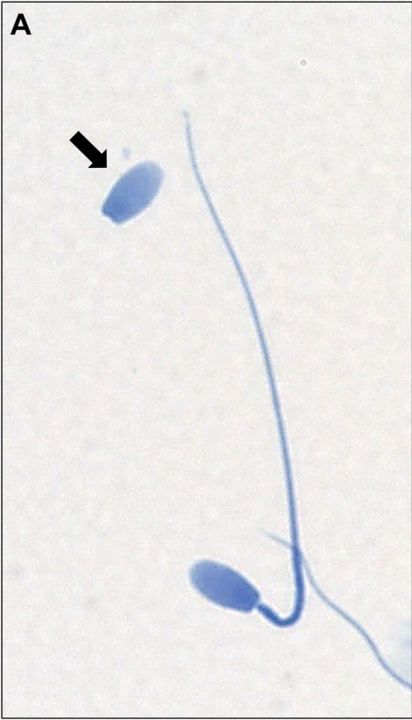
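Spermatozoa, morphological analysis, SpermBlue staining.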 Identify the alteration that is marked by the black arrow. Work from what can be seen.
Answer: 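The arrow points to an oval blue sperm head lying alone. No midpiece or tail is attached to that head. The answer: detached head.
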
